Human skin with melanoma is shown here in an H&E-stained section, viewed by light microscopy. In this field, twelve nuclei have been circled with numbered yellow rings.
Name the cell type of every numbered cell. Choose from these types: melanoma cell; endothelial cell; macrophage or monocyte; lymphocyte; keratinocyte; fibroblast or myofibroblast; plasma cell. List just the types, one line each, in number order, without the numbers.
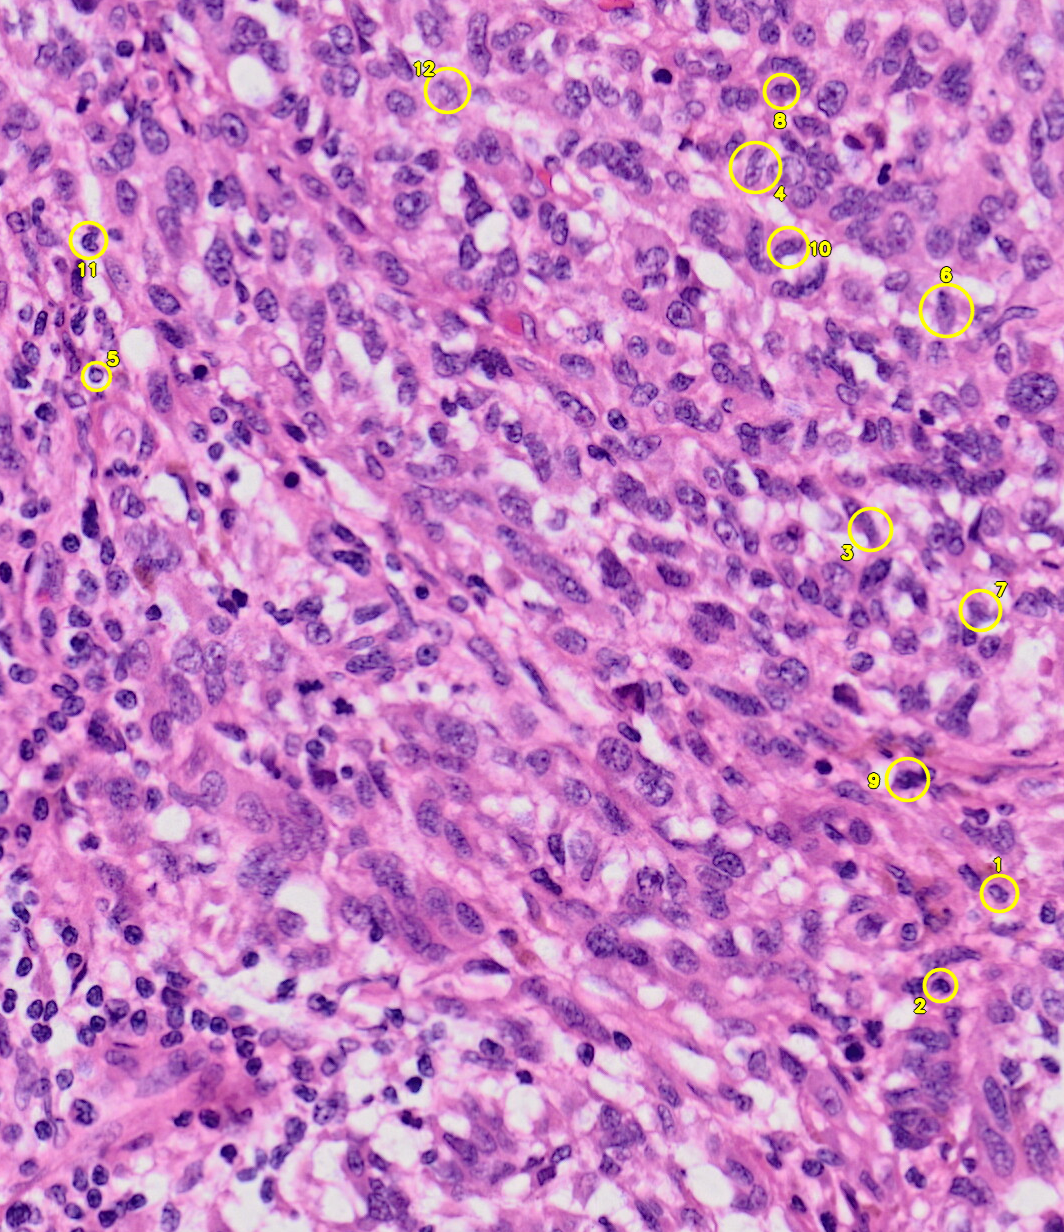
lymphocyte
lymphocyte
melanoma cell
melanoma cell
lymphocyte
melanoma cell
melanoma cell
melanoma cell
plasma cell
melanoma cell
lymphocyte
melanoma cell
